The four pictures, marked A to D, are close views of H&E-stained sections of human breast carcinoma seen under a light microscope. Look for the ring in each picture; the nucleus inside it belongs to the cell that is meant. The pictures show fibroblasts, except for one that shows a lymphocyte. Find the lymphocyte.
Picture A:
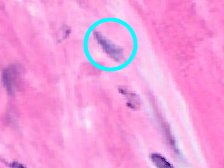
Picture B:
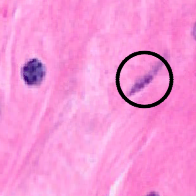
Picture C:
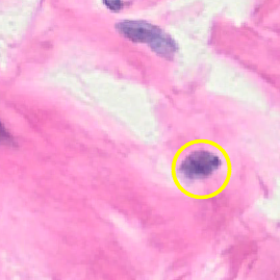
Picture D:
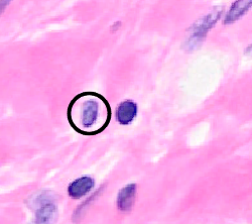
D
